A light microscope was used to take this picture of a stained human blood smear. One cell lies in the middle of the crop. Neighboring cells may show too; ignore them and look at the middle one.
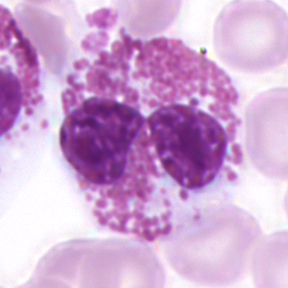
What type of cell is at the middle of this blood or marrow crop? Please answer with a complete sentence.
The cell at the middle of the crop is recognized as an eosinophil.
